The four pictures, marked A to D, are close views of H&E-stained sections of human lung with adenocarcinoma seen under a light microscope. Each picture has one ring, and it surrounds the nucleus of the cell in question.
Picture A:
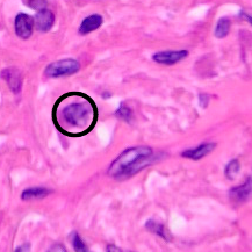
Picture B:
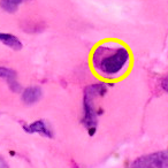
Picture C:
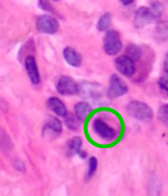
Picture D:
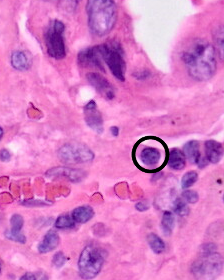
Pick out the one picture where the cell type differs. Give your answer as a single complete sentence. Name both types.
The others show plasma cells, but picture D shows a lymphocyte.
